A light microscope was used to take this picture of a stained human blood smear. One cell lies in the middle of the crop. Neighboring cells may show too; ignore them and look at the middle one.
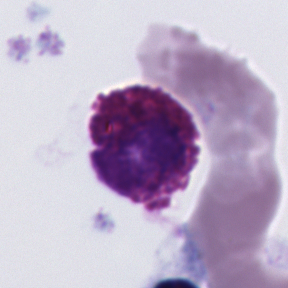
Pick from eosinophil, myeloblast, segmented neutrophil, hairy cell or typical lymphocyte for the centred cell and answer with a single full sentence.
The cell centred in this crop is categorized as an eosinophil.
